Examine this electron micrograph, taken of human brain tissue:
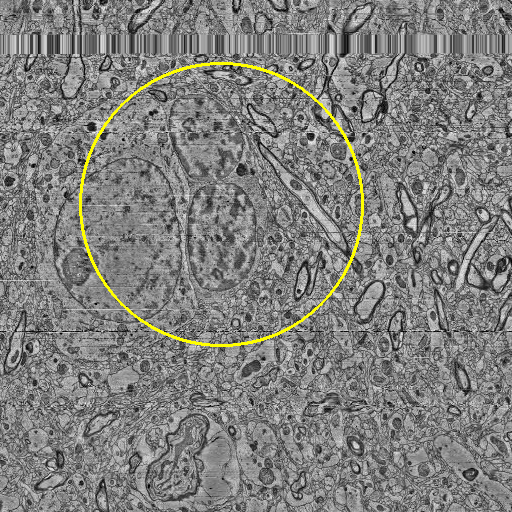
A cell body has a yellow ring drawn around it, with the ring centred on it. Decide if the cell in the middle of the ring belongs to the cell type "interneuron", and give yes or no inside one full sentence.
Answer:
No, the cell at the centre of the yellow ring in this picture is of a different type.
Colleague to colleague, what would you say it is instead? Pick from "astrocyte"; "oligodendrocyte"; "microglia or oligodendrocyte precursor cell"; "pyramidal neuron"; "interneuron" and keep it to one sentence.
What the ring is centred on is an oligodendrocyte.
